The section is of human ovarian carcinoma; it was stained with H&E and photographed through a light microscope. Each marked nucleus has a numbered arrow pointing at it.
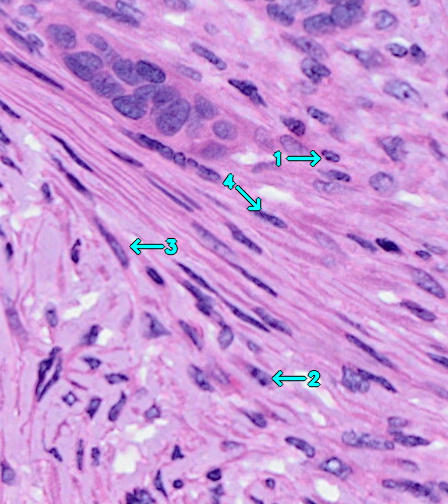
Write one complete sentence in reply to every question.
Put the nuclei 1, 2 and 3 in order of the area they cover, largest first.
Largest first, the order by area is 3, 2, 1.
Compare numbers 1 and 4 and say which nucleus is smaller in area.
With nucleus 4 about 2 times its size, nucleus 1 is the smaller of the two.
